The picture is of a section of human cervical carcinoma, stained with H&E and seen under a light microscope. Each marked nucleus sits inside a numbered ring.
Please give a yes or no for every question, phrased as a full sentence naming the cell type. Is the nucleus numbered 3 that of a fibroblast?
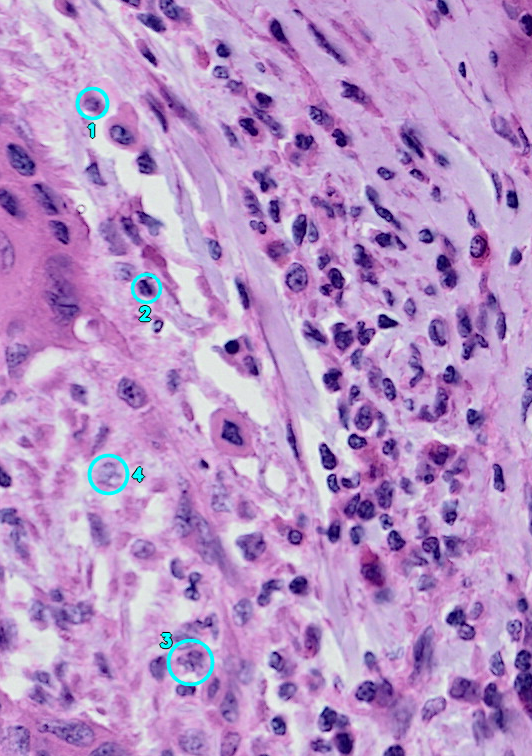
No, with respect, cell 3 is a macrophage or monocyte rather than a fibroblast.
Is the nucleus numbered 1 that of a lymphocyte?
No, cell 1 has been misnamed; it is a macrophage or monocyte, not a lymphocyte.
